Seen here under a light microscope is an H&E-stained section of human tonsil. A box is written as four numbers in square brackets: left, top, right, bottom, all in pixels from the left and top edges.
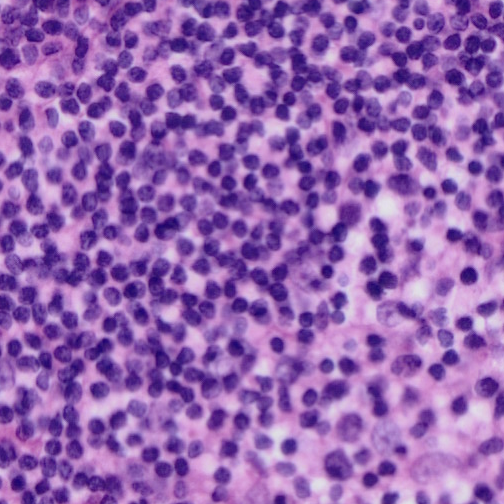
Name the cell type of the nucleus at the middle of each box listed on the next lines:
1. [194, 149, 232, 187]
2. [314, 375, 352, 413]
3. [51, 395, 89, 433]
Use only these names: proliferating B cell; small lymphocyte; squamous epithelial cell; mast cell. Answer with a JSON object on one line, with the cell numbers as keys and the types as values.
{"1": "small lymphocyte", "2": "proliferating B cell", "3": "small lymphocyte"}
